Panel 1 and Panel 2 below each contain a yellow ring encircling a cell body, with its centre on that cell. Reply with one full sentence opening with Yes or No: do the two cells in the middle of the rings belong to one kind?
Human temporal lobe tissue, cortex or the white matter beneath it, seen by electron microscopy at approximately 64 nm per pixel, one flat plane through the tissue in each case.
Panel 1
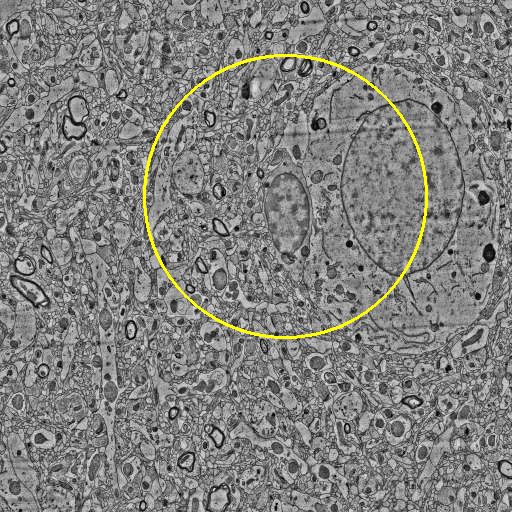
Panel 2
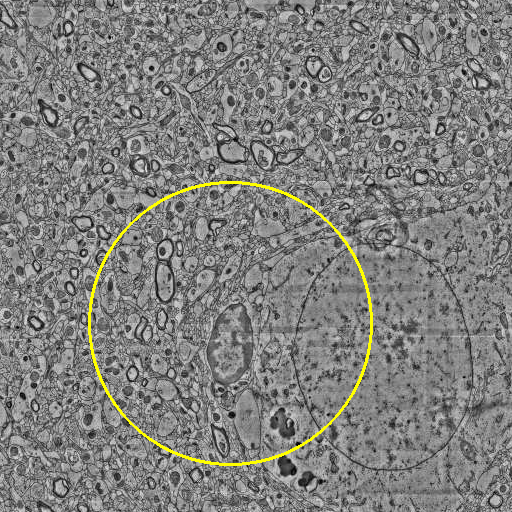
No, the cells at the middle of the Panel 1 ring and the Panel 2 ring are of two kinds.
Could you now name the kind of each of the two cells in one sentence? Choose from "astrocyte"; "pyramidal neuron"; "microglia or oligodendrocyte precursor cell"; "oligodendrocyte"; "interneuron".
The first ring encloses an oligodendrocyte; the second ring encloses a microglial cell or oligodendrocyte precursor cell.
